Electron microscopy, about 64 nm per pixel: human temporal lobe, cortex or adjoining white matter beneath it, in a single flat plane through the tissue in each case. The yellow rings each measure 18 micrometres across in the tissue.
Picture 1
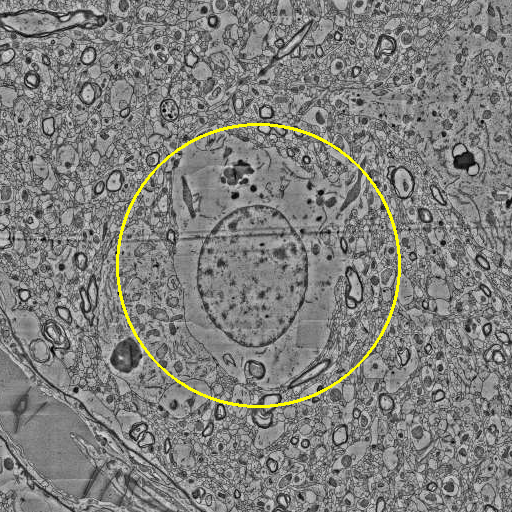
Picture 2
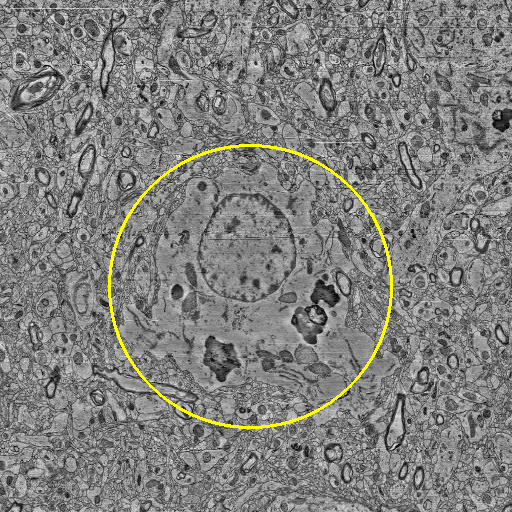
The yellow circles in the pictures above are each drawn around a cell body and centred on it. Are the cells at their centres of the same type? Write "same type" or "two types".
same type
